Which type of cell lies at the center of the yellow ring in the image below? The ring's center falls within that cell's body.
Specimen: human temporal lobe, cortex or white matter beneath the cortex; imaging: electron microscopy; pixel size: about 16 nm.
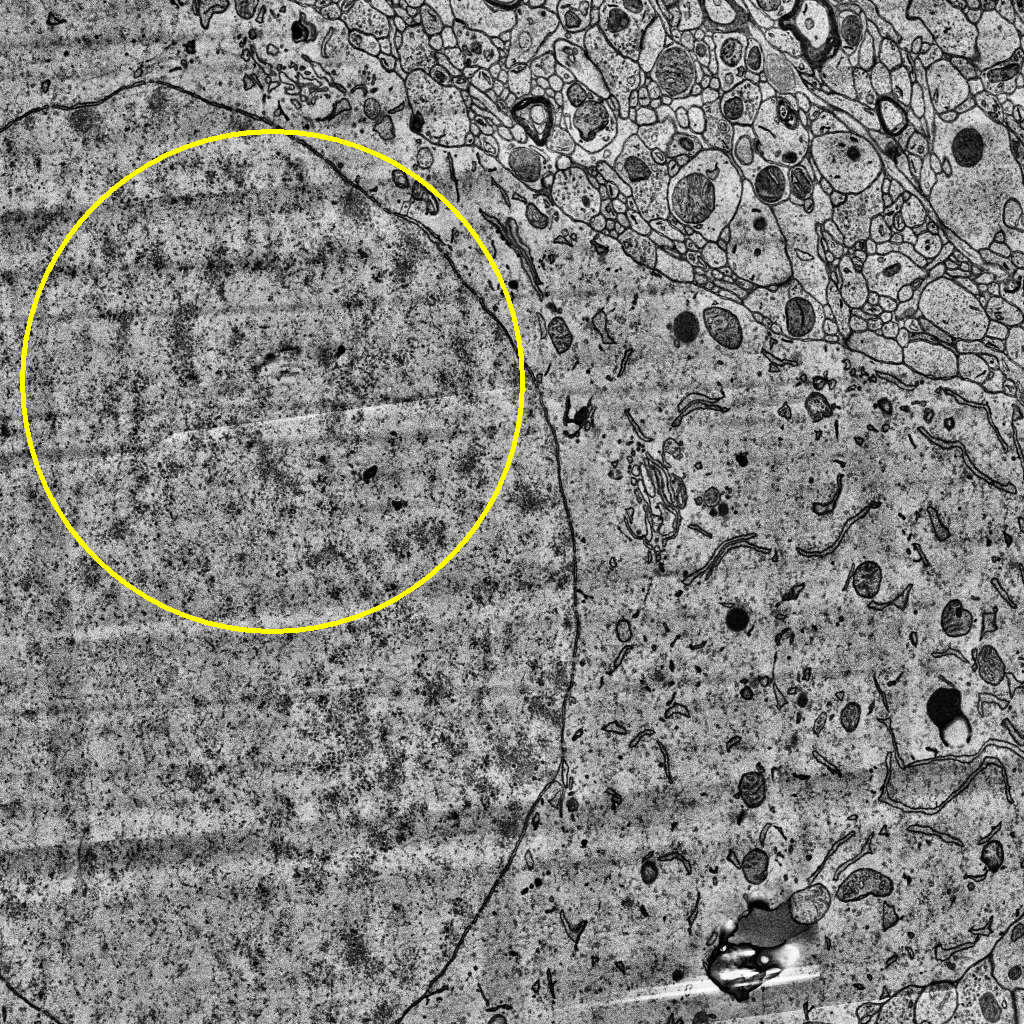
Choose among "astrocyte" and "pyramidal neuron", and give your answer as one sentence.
The cell body at the center belongs to a pyramidal neuron.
